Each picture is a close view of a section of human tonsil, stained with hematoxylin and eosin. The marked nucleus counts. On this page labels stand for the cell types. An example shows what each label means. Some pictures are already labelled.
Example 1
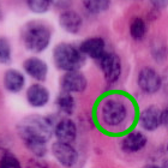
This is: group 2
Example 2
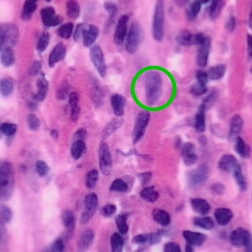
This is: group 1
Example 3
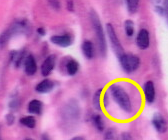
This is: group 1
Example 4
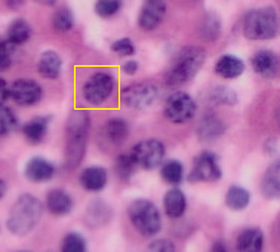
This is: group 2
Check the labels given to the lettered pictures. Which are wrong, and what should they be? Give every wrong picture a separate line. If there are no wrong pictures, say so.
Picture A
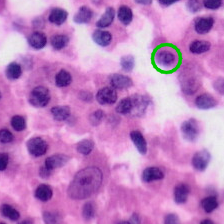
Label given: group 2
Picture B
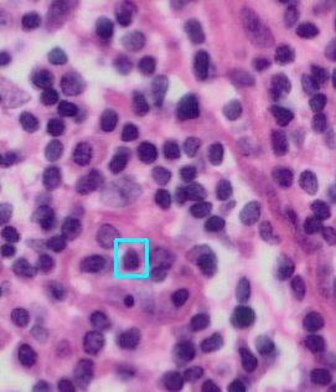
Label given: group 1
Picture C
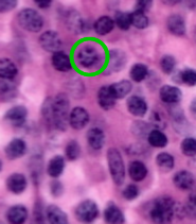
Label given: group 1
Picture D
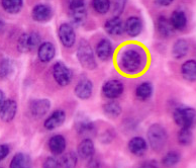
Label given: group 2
C should be group 2, not group 1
